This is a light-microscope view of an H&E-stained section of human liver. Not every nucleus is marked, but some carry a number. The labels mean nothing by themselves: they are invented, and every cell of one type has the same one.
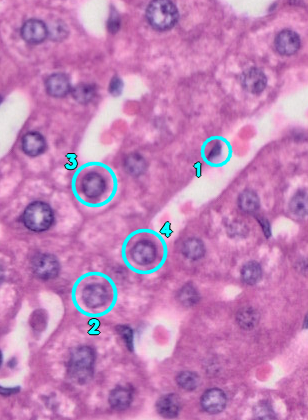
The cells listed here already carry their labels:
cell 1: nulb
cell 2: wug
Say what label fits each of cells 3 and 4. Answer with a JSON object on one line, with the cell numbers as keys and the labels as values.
{"3": "wug", "4": "wug"}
